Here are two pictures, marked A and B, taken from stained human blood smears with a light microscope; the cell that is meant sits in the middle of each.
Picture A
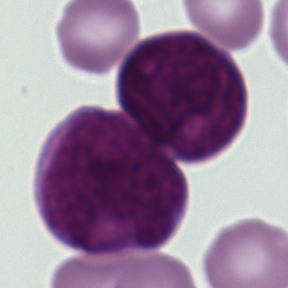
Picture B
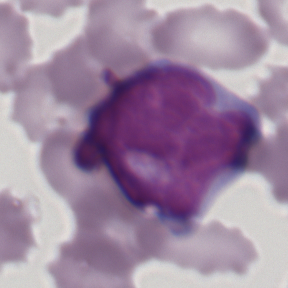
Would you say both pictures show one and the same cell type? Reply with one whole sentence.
Yes; the cells in both pictures are myeloblasts.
